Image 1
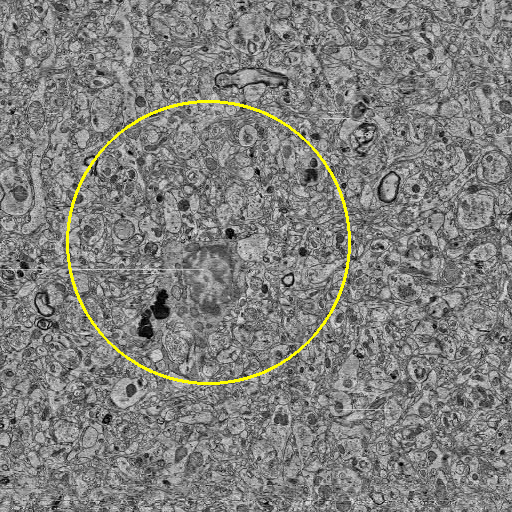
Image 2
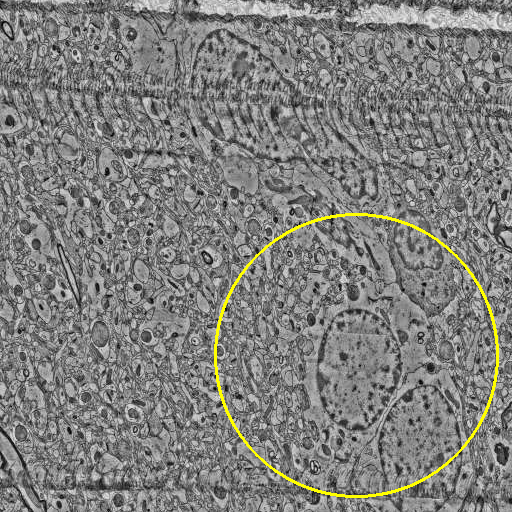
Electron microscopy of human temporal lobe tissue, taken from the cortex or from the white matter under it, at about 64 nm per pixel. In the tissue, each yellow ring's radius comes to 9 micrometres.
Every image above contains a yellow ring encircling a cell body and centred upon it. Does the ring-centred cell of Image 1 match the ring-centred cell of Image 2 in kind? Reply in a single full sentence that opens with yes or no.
No, the cell at the ring's centre in Image 1 is a separate kind from that in Image 2.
